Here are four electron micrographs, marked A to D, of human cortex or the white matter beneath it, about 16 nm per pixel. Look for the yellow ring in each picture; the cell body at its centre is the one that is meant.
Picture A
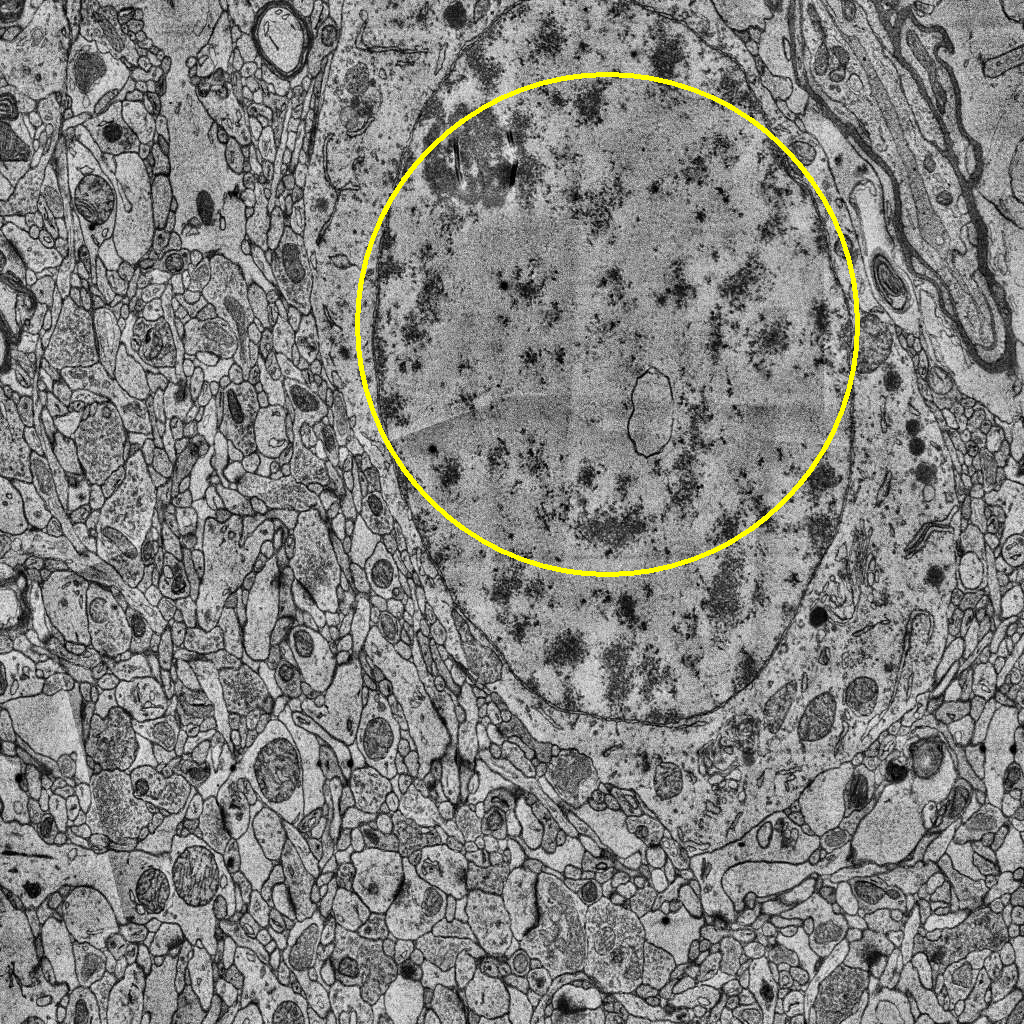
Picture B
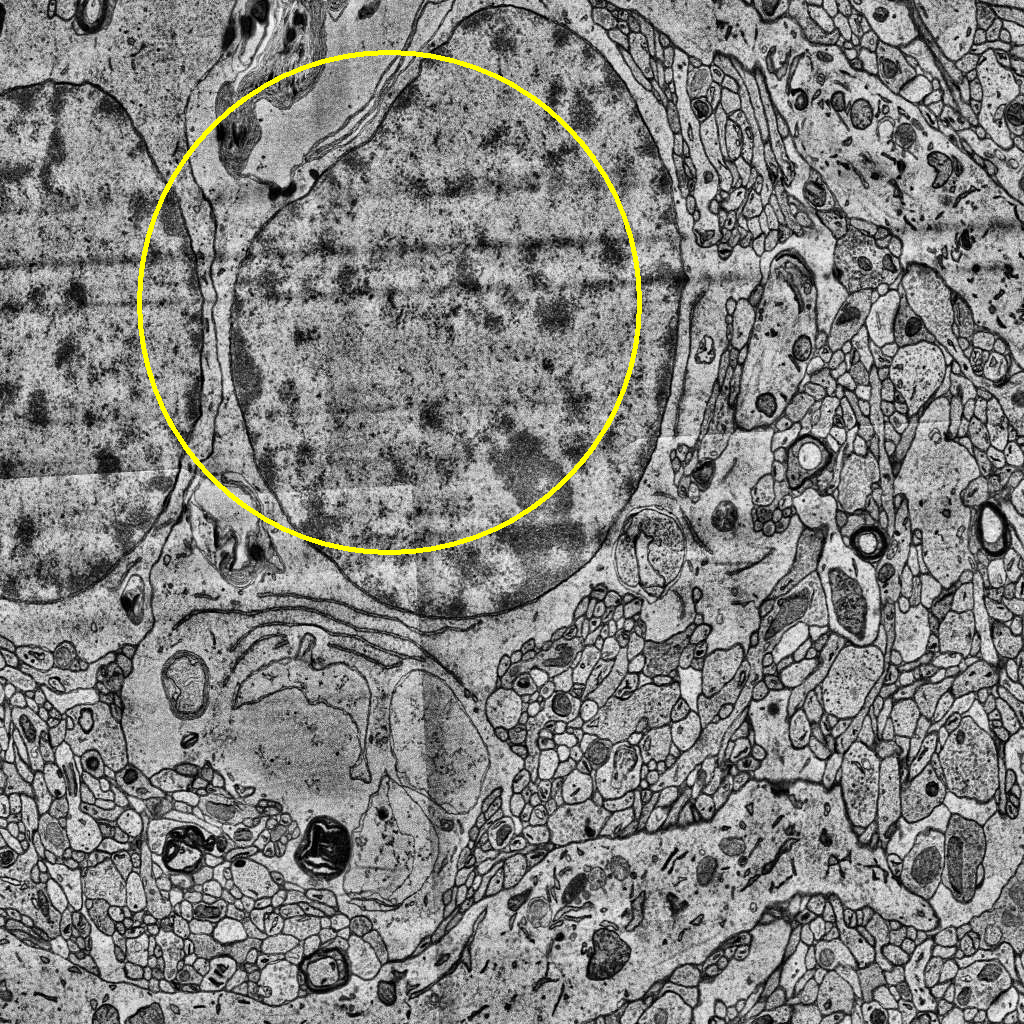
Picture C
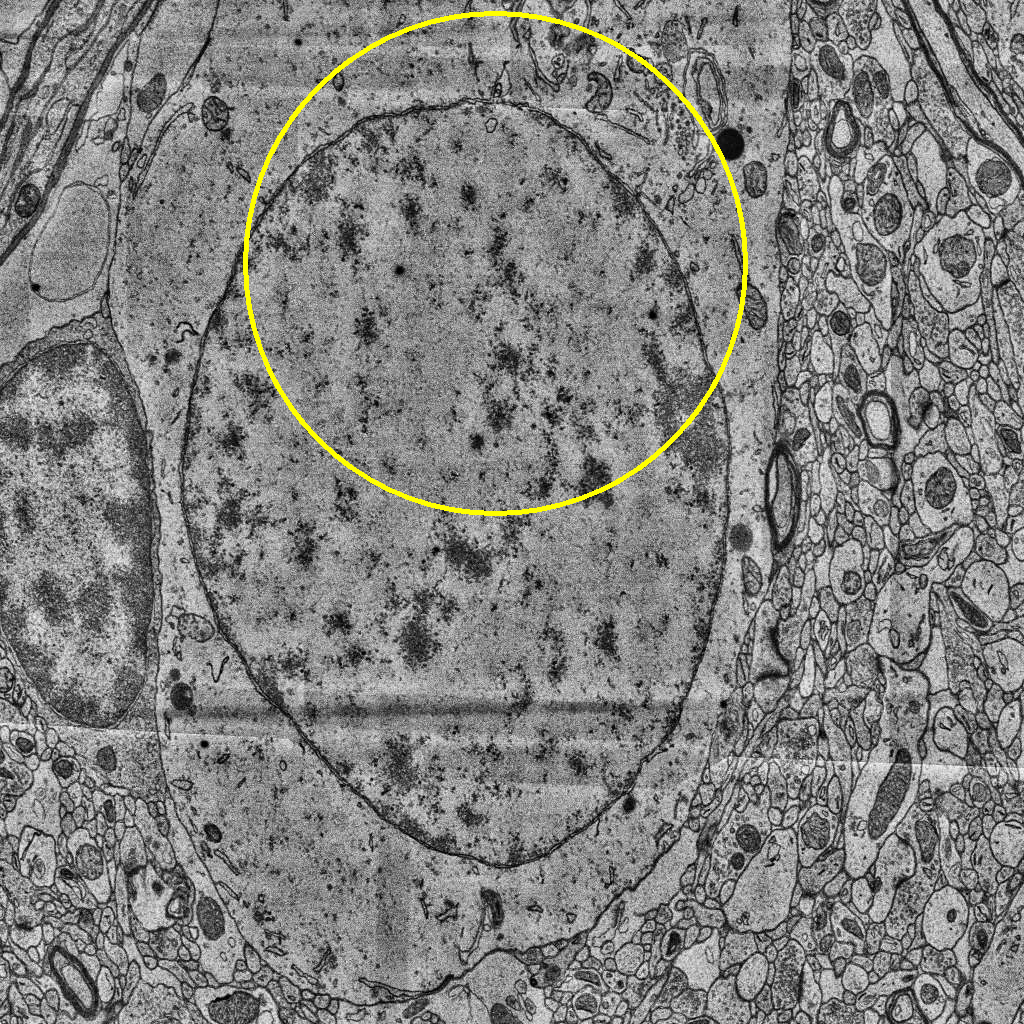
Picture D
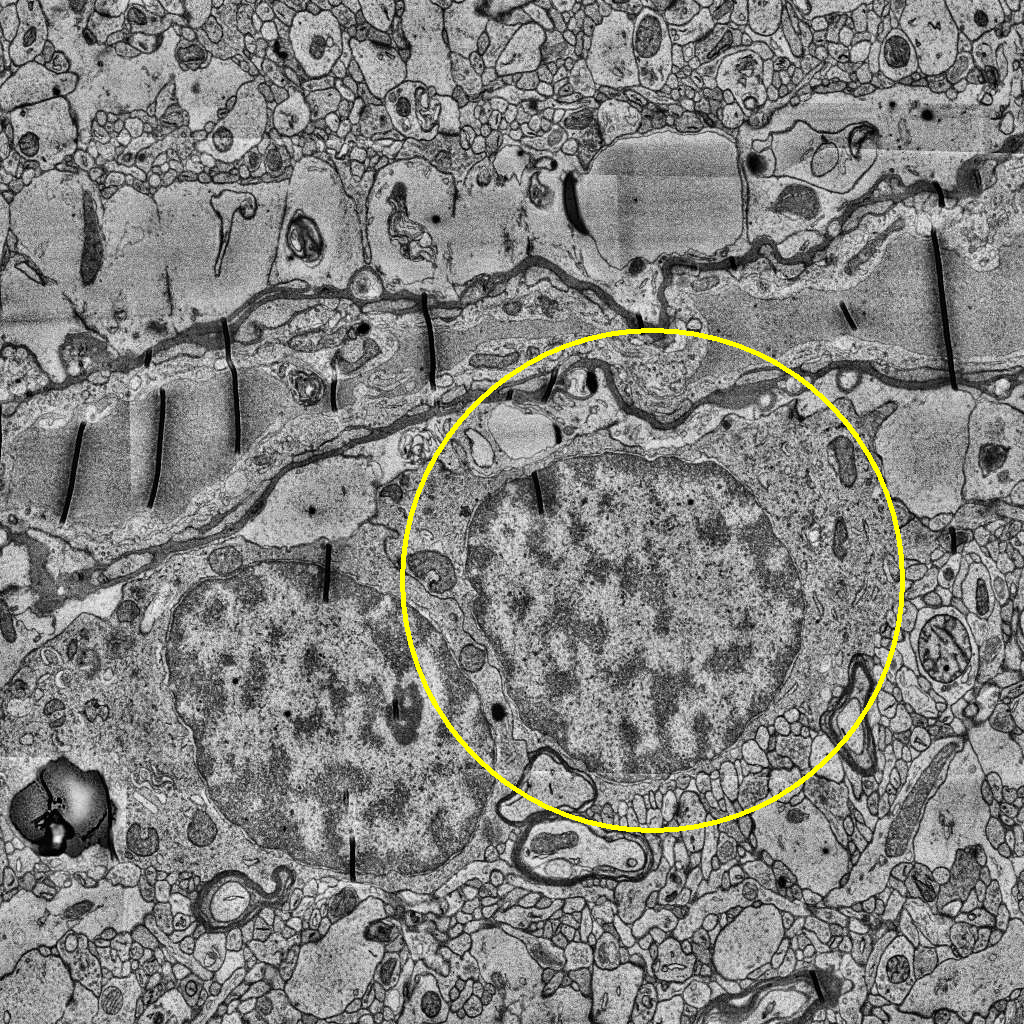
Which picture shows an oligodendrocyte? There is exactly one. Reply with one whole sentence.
The oligodendrocyte is the one in picture D.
